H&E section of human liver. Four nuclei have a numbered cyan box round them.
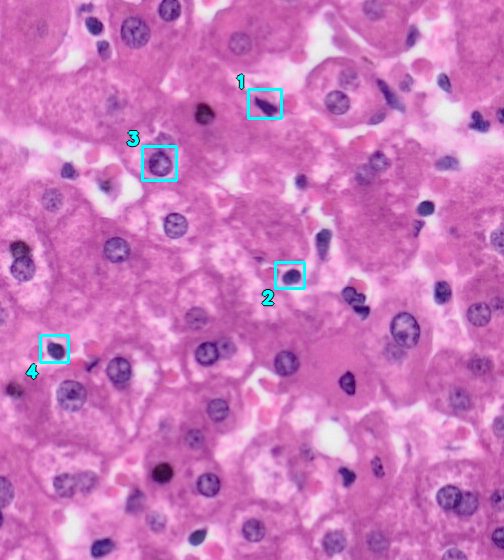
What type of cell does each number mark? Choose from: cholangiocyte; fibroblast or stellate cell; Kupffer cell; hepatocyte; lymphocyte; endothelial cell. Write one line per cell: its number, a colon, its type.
1: fibroblast or stellate cell
2: lymphocyte
3: hepatocyte
4: lymphocyte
